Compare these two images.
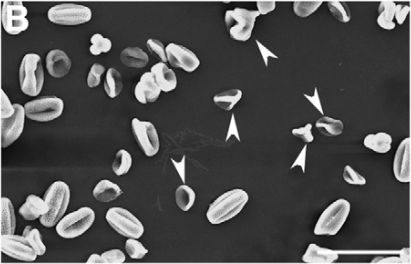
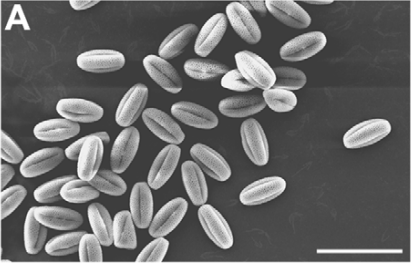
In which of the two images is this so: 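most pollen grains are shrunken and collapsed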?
The first image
